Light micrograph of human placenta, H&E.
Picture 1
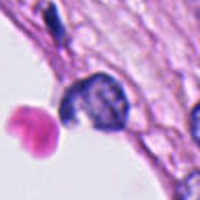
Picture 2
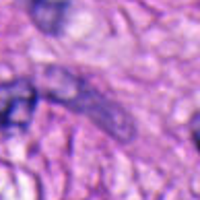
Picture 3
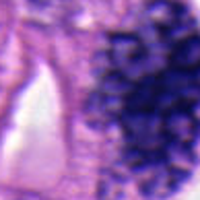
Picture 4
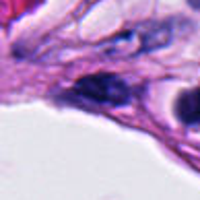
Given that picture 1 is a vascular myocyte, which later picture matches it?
2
